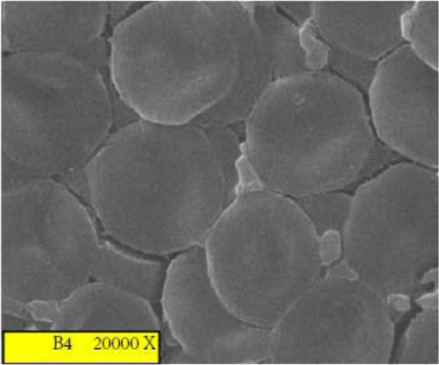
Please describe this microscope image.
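Red blood cells seen by scanning electron microscopy lie packed side by side as round, disc-shaped cells of fairly uniform size. Their surfaces are smooth and their rims regular, with narrow gaps between neighbouring cells.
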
